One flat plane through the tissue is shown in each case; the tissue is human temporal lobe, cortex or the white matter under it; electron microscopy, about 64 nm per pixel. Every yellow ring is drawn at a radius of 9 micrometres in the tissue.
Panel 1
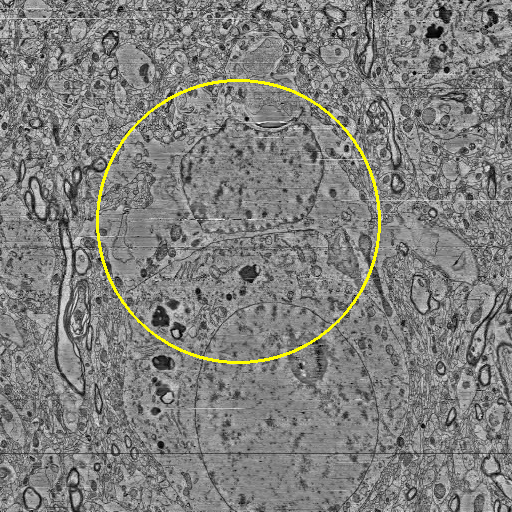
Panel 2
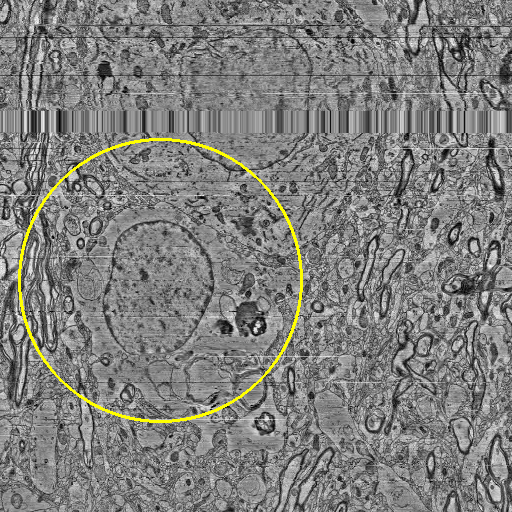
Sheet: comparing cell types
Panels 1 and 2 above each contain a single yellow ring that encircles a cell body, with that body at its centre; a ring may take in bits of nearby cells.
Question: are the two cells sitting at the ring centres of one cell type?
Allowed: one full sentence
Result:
Yes, the ring-centre cells in Panel 1 and Panel 2 are of one type.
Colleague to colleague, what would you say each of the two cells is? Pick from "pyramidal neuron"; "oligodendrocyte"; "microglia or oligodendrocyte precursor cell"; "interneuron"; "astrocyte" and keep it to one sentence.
In each picture the ringed cell is an astrocyte.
